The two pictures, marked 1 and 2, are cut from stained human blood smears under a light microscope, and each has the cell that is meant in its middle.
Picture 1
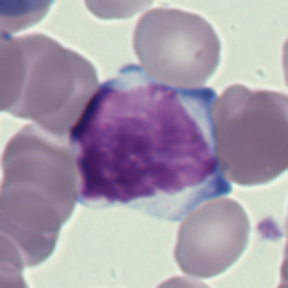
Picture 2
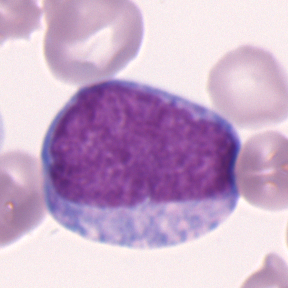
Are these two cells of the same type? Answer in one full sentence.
No, the types are not the same, since picture 1 shows a myeloblast and picture 2 a promyelocyte.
